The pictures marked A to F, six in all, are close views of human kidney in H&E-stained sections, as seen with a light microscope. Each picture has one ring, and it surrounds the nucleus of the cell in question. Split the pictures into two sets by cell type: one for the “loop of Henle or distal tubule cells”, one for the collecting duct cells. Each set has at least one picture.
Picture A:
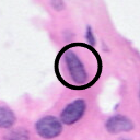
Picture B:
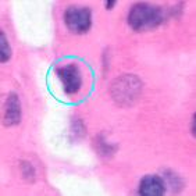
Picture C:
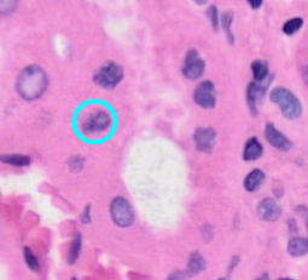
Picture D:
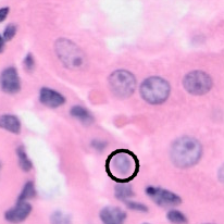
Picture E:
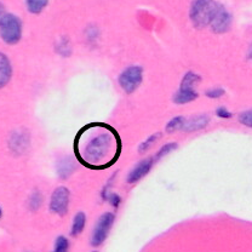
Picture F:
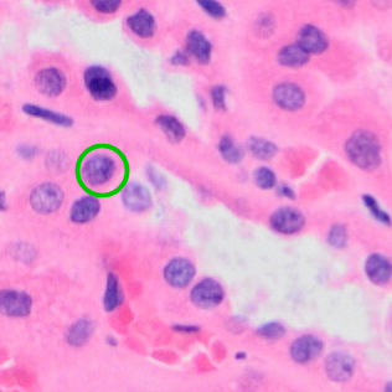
A: collecting duct cell
B: loop of Henle or distal tubule cell
C: loop of Henle or distal tubule cell
D: collecting duct cell
E: loop of Henle or distal tubule cell
F: loop of Henle or distal tubule cell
